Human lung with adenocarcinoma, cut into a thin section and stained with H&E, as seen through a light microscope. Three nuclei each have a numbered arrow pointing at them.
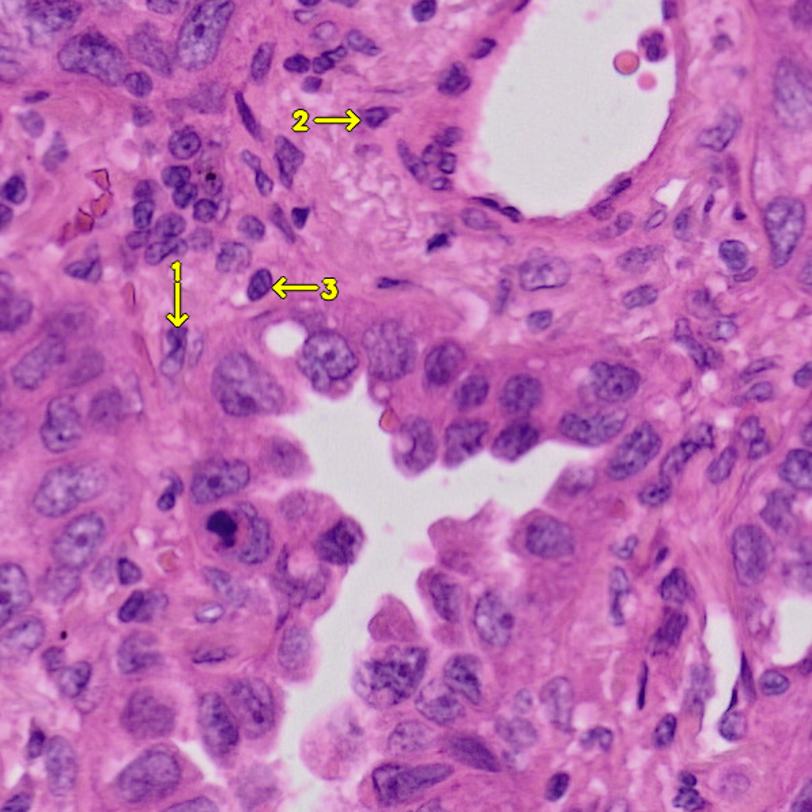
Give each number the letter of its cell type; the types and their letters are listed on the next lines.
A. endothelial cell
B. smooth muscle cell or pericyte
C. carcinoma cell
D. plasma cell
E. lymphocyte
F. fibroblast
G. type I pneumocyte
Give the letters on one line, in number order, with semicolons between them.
E; D; E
